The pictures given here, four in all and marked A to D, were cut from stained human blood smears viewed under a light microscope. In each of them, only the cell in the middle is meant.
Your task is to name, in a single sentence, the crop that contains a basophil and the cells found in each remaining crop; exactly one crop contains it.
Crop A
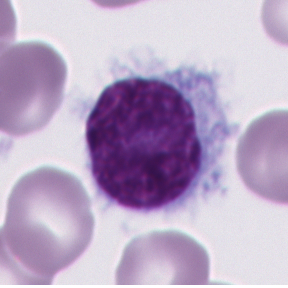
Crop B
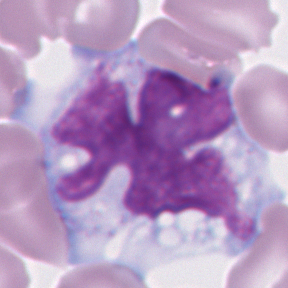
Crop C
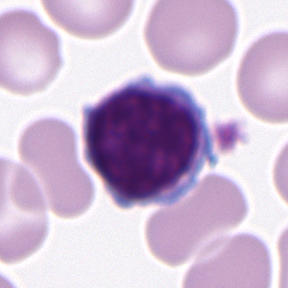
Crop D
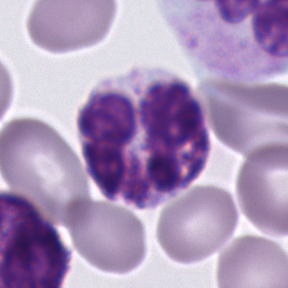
Crop D presents a basophil at its centre, whereas crop A is a hairy cell, crop B is a monocyte and crop C is a typical lymphocyte.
